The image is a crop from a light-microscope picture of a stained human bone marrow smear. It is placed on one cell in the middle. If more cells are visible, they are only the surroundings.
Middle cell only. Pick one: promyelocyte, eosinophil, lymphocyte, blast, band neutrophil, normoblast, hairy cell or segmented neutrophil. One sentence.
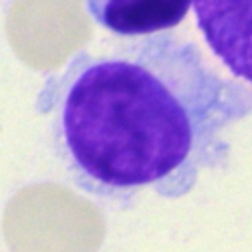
The cell marked by its central position in the crop is a hairy cell.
